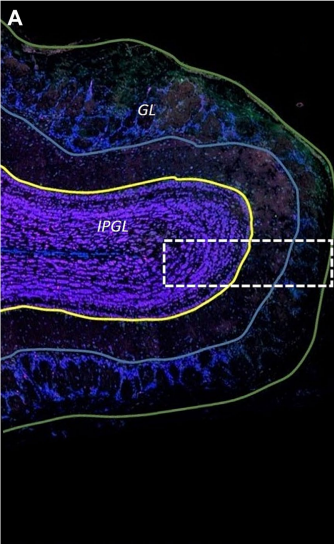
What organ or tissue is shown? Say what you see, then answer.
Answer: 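Rounded clusters of nuclei ring the outer part of the section near its surface.
Answer: olfactory bulb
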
